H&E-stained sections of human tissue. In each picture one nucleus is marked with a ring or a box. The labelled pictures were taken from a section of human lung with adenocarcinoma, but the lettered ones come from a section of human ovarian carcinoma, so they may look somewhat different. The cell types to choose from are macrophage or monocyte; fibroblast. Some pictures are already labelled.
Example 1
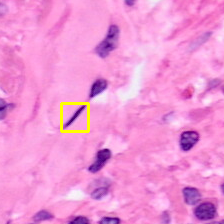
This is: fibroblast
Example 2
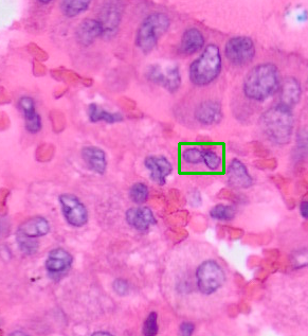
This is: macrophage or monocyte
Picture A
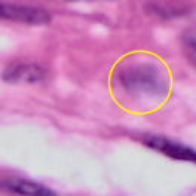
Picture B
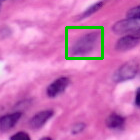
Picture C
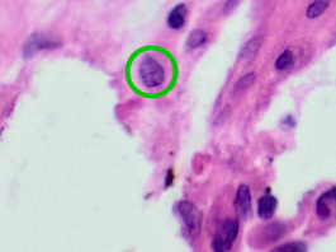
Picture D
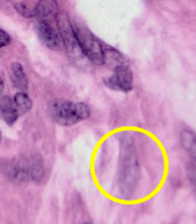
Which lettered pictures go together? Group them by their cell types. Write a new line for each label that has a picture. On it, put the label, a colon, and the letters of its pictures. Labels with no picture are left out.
macrophage or monocyte: C
fibroblast: A, B, D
